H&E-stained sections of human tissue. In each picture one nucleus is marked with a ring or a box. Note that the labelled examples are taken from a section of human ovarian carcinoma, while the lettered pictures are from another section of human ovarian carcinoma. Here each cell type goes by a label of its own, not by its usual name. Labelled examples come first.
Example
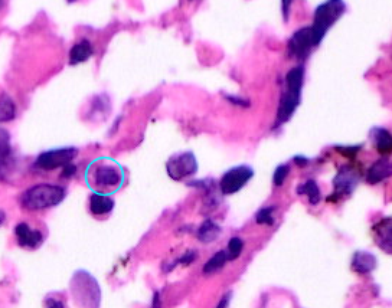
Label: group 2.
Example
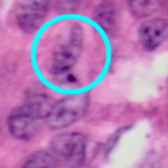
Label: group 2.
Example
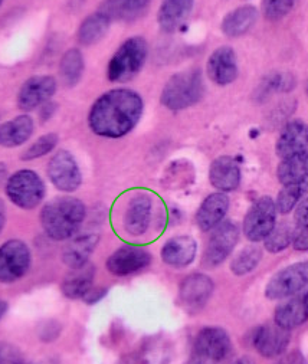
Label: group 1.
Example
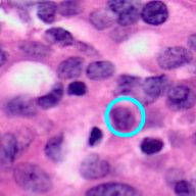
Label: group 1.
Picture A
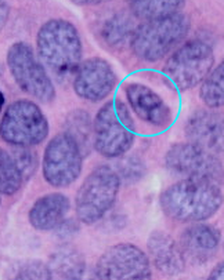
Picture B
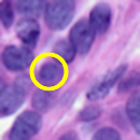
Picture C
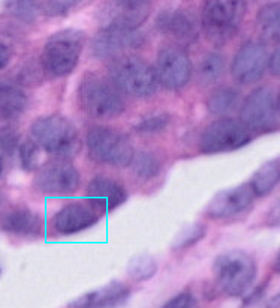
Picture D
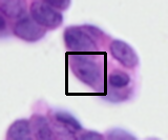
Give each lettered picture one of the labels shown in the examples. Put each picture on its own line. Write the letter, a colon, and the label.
A: group 2.
B: group 1.
C: group 1.
D: group 1.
